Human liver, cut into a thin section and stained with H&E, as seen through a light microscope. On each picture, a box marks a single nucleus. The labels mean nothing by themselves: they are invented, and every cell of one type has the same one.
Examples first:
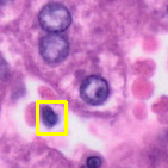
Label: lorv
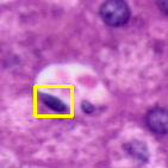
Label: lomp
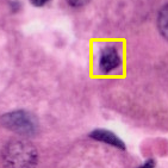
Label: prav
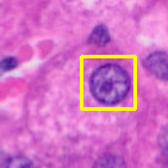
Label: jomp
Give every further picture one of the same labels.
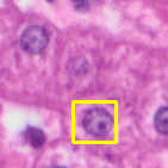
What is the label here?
jomp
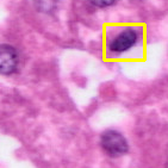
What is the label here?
prav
